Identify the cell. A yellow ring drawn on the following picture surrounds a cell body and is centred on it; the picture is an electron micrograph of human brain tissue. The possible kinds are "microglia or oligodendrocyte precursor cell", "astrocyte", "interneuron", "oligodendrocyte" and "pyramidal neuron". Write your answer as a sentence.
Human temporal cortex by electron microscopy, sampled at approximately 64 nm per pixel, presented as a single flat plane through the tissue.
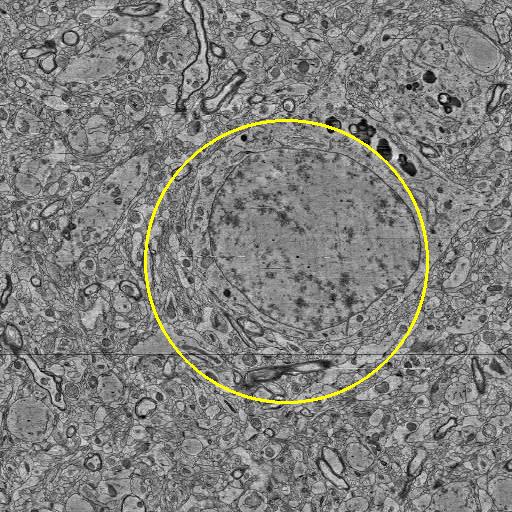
The cell identified by the ring is a pyramidal neuron.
